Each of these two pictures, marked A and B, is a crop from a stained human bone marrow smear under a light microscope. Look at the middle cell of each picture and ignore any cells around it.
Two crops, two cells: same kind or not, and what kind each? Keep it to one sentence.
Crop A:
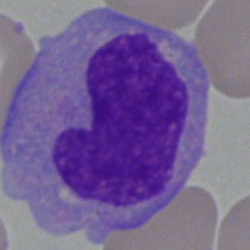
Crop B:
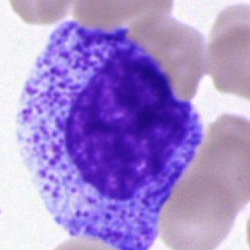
No, the cell centred in crop B is a myelocyte; crop A centres on a monocyte.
